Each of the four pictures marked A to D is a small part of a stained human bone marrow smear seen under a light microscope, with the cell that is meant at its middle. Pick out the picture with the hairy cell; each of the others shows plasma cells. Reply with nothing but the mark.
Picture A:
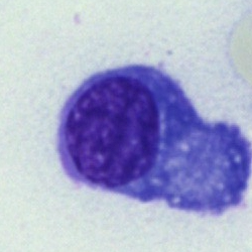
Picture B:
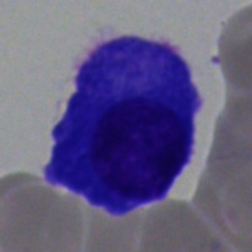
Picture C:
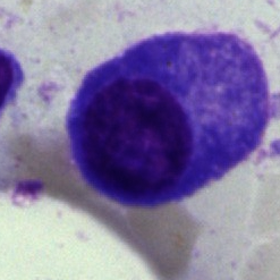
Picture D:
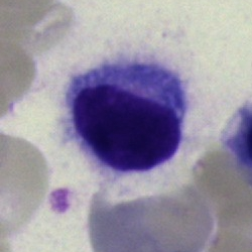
D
